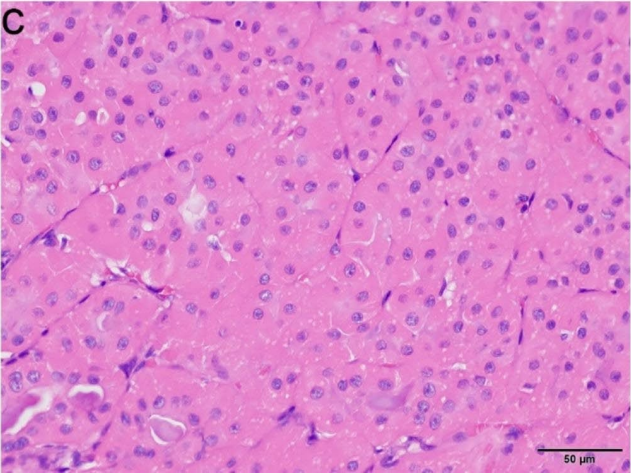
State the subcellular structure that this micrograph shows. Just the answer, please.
Abundant eosinophilic cytoplasm.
